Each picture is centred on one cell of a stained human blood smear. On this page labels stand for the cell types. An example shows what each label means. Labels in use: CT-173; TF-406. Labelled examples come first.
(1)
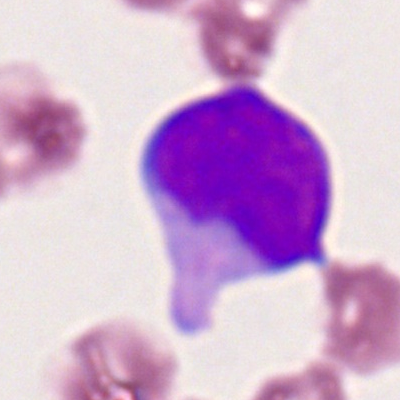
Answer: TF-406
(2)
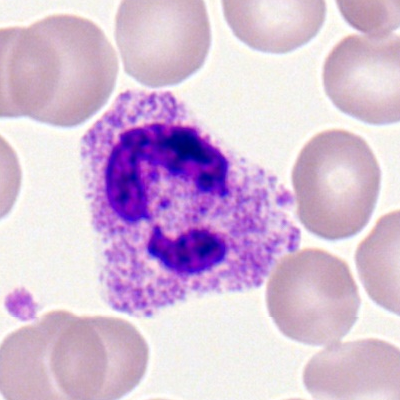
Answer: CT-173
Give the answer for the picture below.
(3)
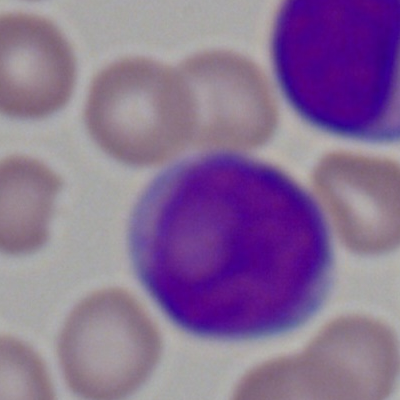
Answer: TF-406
